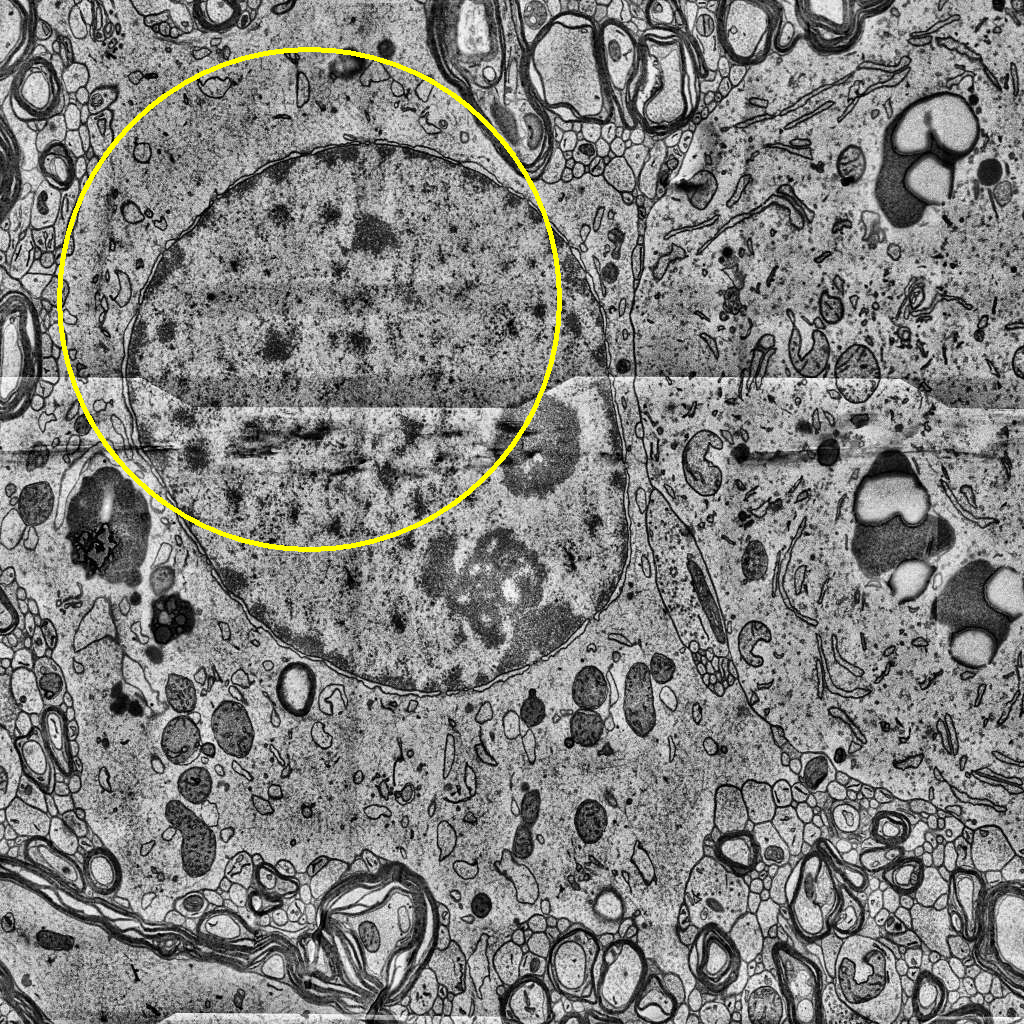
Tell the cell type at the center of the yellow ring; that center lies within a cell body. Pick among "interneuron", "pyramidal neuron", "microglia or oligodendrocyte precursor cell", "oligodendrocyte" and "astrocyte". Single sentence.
The ring's center lies in the body of an astrocyte.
